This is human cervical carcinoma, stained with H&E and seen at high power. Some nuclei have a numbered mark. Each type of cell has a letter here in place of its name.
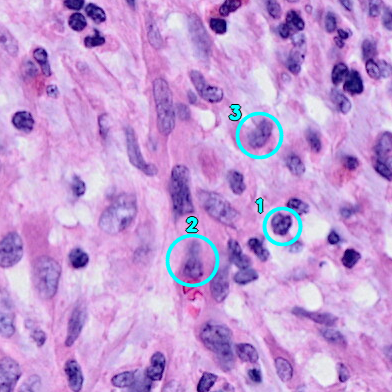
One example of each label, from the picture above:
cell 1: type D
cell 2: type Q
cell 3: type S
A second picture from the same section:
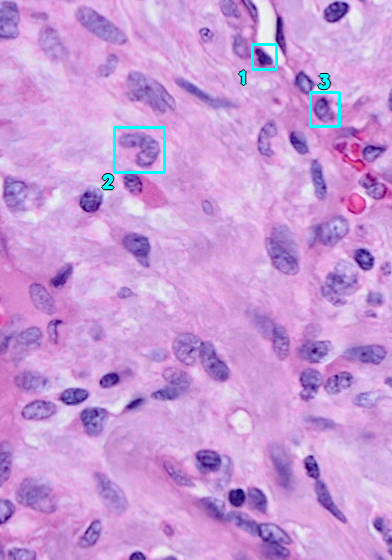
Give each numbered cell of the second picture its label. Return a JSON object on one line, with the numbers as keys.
{"1": "type Q", "2": "type S", "3": "type Q"}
